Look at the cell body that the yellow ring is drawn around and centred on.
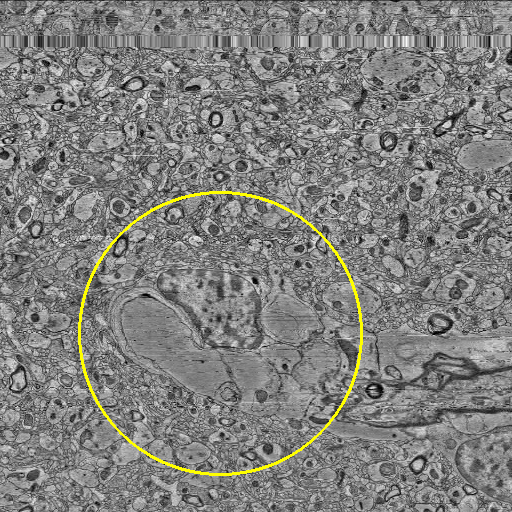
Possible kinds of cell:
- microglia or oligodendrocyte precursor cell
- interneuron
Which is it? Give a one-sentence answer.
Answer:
The centred cell body is that of a microglial cell or oligodendrocyte precursor cell.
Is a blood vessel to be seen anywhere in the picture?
Yes, one is visible.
